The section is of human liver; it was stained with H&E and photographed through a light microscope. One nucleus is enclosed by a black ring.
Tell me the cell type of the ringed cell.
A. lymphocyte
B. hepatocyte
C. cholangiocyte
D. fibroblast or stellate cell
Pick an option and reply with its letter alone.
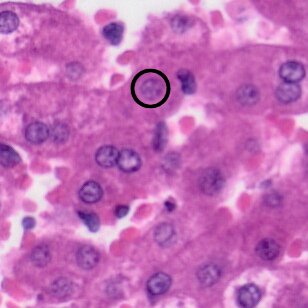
B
